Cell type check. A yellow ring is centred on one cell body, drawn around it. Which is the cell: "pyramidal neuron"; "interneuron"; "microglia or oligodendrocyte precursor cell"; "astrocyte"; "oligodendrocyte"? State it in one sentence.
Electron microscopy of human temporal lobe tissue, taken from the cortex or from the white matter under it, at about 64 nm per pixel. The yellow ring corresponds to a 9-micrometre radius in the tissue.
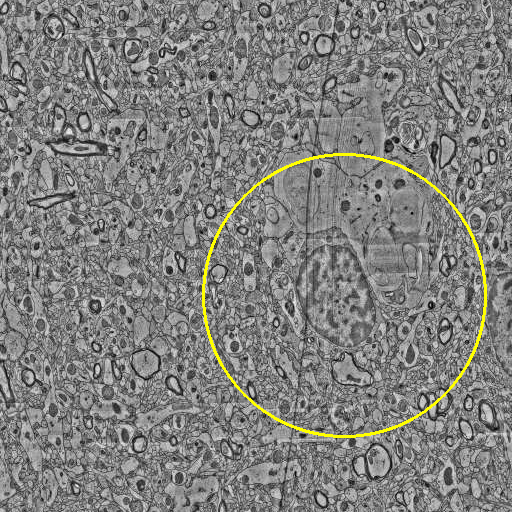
The cell body at the ring's centre belongs to an oligodendrocyte.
